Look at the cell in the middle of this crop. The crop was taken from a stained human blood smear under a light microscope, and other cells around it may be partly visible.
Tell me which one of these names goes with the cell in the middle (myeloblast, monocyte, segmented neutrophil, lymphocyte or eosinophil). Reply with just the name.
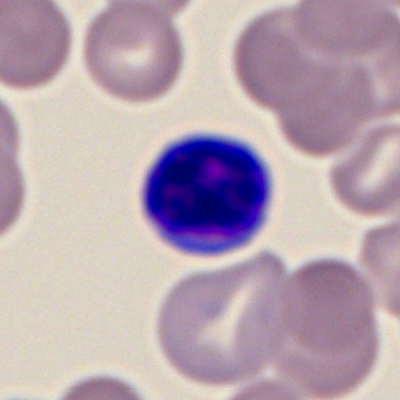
lymphocyte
